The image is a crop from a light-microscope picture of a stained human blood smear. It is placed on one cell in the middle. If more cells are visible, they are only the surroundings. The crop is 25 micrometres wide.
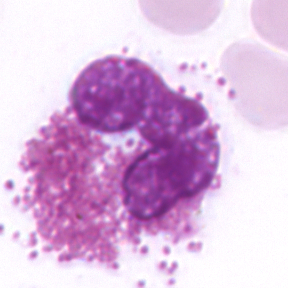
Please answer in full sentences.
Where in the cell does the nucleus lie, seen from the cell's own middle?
Seen from the middle of the cell, the nucleus lies toward the upper right.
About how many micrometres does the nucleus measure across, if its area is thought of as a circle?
About 11 micrometres: that is the diameter of the nucleus.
